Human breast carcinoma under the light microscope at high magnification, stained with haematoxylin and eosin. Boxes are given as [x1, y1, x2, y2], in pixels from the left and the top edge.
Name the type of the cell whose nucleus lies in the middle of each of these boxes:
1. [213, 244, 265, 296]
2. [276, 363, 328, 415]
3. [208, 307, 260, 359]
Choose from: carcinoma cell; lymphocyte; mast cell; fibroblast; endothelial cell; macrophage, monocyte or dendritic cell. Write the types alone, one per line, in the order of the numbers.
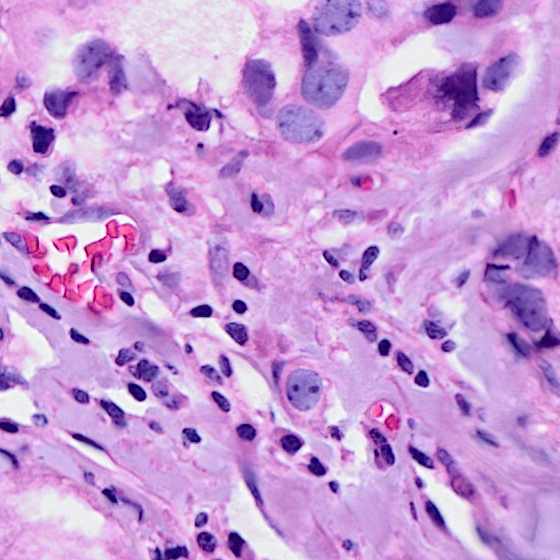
lymphocyte
carcinoma cell
lymphocyte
